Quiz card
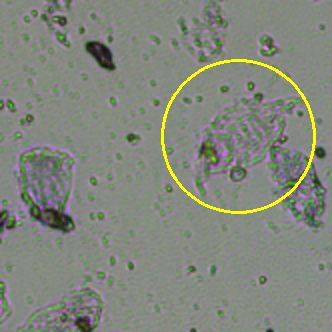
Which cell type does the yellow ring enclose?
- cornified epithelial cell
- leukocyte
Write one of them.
cornified epithelial cell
